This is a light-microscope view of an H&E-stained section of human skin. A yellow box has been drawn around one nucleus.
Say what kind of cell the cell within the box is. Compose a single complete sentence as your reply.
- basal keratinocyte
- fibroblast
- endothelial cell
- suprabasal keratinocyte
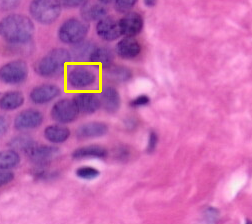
The classification of the cell within the box is as a basal keratinocyte.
